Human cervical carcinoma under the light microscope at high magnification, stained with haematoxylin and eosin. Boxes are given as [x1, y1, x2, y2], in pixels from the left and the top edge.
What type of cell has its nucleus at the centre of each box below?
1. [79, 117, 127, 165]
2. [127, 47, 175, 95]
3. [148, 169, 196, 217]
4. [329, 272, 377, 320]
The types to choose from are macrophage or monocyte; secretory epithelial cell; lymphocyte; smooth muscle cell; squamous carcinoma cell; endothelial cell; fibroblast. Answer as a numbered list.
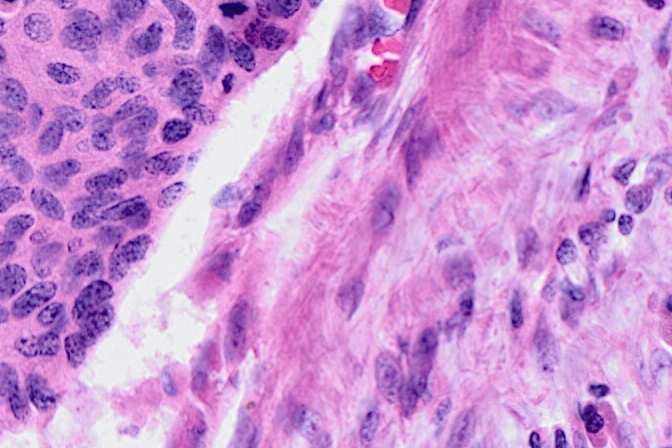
1. squamous carcinoma cell
2. squamous carcinoma cell
3. squamous carcinoma cell
4. fibroblast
